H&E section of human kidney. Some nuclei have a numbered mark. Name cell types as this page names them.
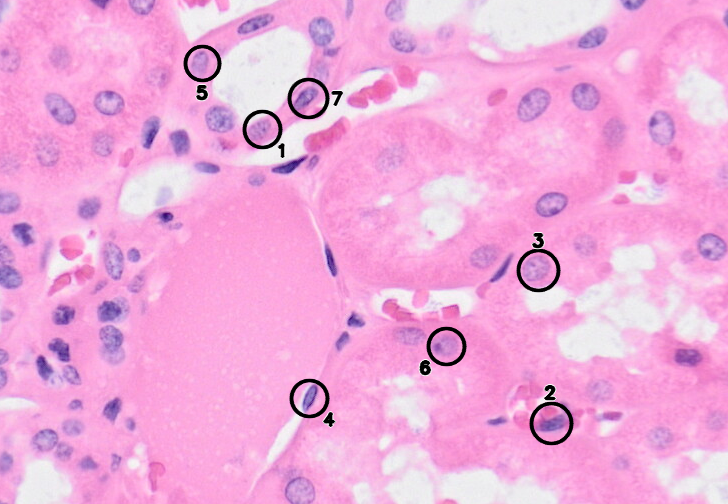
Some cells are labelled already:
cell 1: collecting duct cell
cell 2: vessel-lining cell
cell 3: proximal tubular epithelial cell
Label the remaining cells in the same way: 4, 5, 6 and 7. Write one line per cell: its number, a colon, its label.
4: vessel-lining cell
5: collecting duct cell
6: proximal tubular epithelial cell
7: collecting duct cell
